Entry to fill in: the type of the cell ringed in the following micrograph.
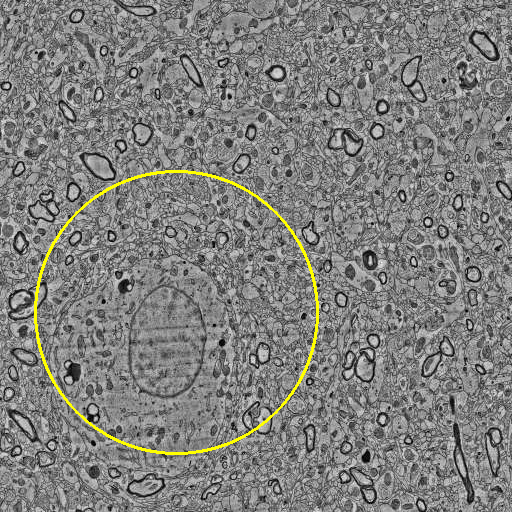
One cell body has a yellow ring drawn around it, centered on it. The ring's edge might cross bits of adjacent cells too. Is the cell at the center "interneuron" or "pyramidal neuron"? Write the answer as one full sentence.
This entry names a pyramidal neuron as the cell whose body lies at the ring's center.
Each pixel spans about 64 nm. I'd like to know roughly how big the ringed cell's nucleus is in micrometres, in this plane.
In this plane the nucleus measures roughly 7 by 5 micrometers.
